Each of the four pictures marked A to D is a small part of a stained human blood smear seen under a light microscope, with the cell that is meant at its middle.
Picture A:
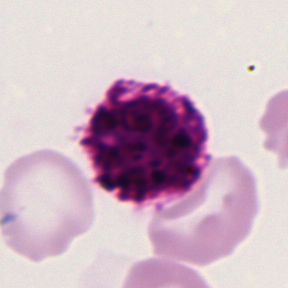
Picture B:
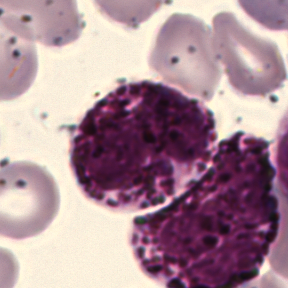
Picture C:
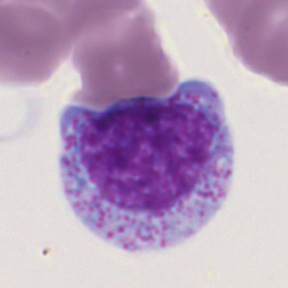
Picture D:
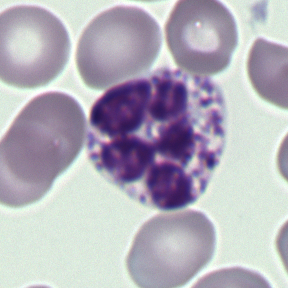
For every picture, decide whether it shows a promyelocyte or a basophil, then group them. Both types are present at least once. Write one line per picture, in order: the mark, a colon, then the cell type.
A: basophil
B: basophil
C: promyelocyte
D: basophil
